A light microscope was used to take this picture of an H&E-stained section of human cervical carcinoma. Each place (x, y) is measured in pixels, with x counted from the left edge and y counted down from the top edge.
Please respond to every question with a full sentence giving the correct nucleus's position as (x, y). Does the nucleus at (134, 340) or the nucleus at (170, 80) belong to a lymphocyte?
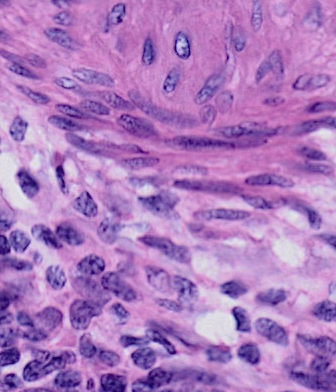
Of the two, the nucleus at (134, 340) is the one contained in a lymphocyte.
